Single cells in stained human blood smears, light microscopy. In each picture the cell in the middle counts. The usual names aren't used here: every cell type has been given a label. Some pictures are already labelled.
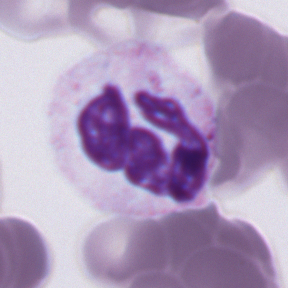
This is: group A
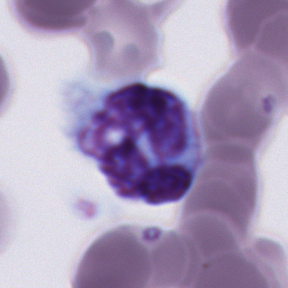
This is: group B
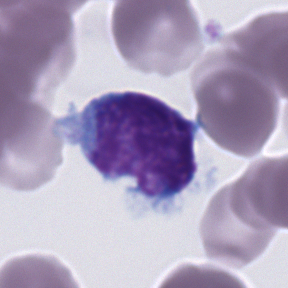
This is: group B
